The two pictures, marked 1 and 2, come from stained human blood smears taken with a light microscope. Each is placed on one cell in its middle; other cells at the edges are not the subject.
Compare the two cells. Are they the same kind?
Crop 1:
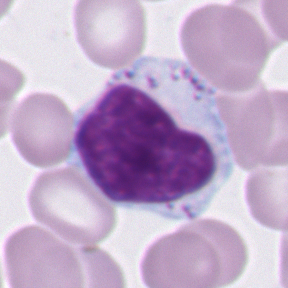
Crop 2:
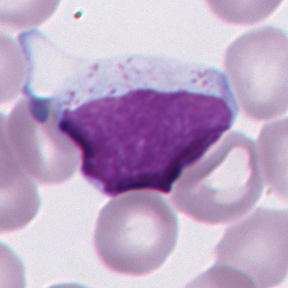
yes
